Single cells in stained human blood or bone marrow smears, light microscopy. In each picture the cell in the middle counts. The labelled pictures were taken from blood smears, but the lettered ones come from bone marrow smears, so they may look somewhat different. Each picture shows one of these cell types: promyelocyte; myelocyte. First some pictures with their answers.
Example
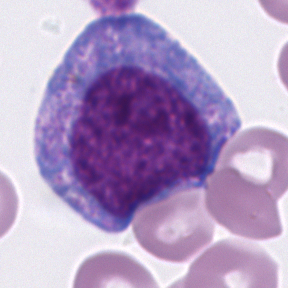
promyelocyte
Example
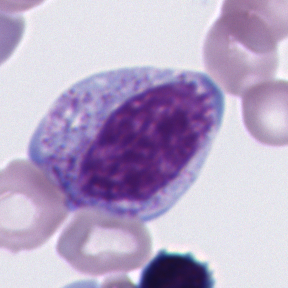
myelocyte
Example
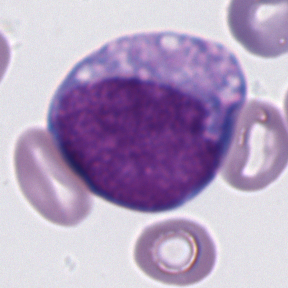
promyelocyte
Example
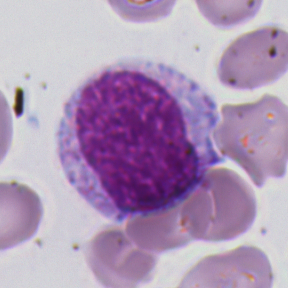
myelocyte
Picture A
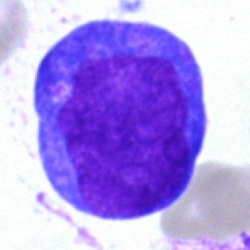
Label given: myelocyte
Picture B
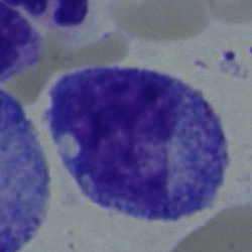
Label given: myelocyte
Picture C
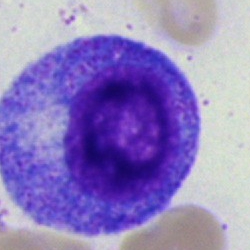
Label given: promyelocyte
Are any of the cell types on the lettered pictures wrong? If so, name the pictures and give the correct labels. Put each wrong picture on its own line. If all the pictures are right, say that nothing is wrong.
A: promyelocyte, not myelocyte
